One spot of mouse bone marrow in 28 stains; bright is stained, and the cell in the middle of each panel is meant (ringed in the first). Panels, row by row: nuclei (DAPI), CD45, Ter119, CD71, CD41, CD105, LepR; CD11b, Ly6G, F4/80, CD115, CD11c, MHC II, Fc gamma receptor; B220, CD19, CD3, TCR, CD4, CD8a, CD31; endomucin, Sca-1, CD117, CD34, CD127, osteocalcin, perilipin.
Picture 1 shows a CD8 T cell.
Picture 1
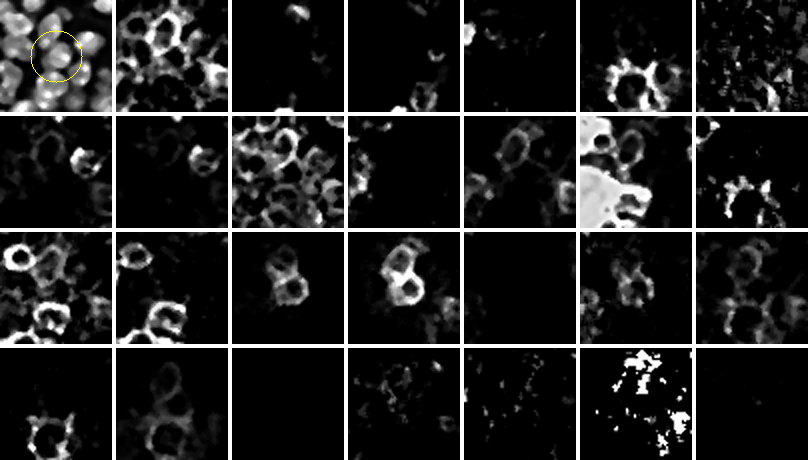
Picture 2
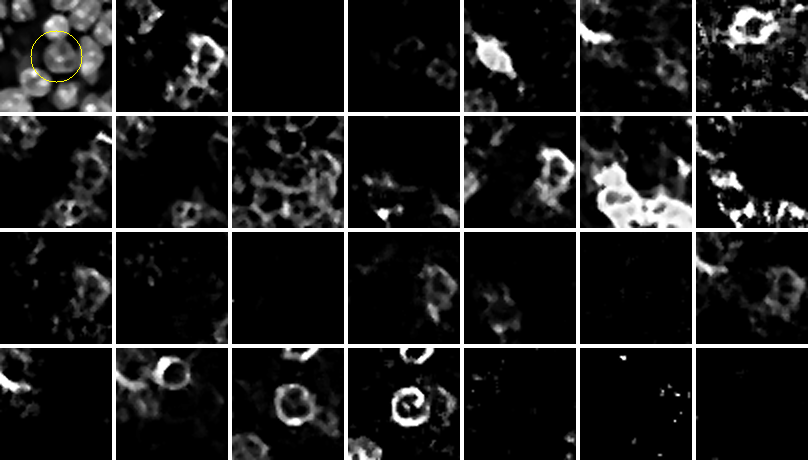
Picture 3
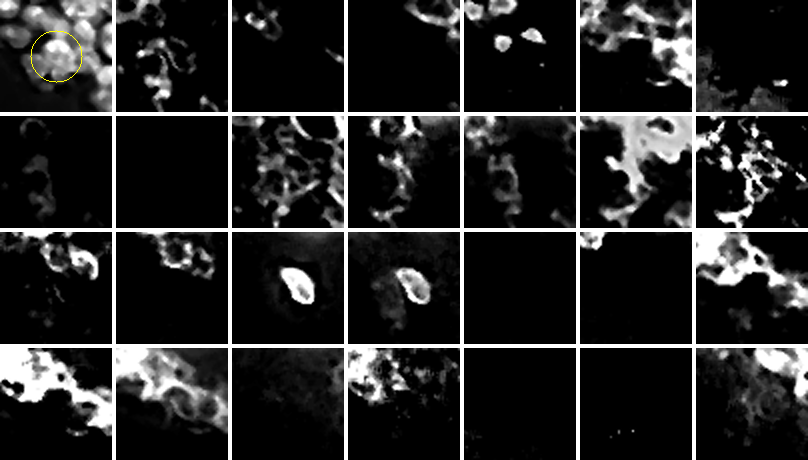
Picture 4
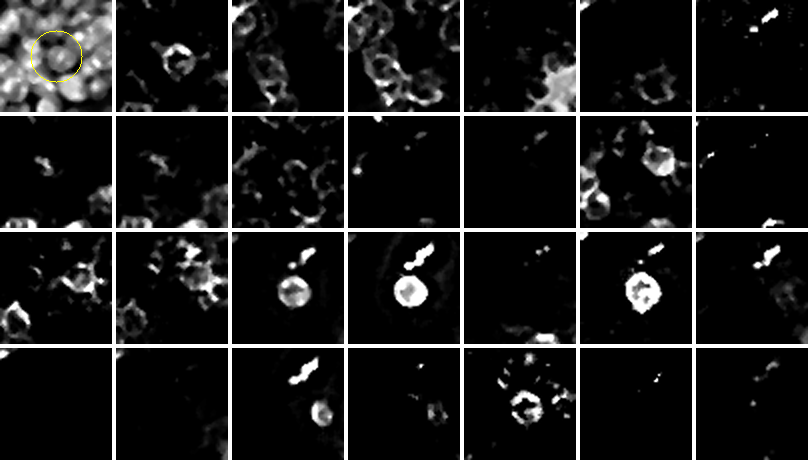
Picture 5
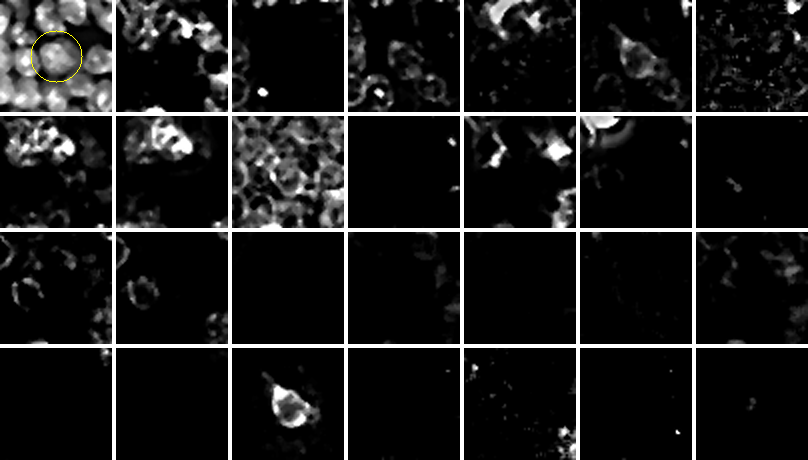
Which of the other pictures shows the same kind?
Picture 4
